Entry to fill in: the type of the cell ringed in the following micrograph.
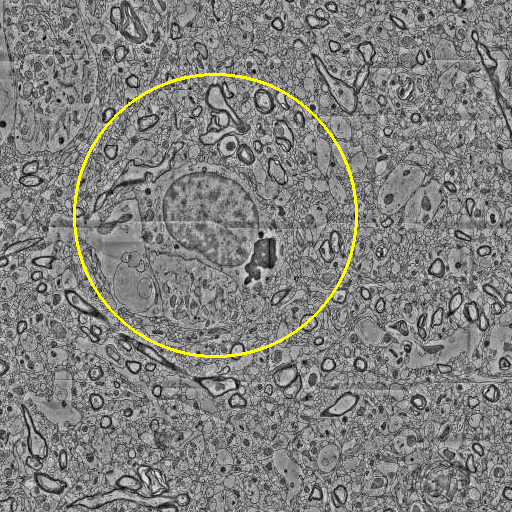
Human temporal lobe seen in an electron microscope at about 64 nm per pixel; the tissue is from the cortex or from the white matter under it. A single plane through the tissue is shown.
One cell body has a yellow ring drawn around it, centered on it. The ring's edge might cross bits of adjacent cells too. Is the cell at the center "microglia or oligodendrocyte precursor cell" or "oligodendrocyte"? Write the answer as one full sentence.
This entry names an oligodendrocyte as the cell whose body lies at the ring's center.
